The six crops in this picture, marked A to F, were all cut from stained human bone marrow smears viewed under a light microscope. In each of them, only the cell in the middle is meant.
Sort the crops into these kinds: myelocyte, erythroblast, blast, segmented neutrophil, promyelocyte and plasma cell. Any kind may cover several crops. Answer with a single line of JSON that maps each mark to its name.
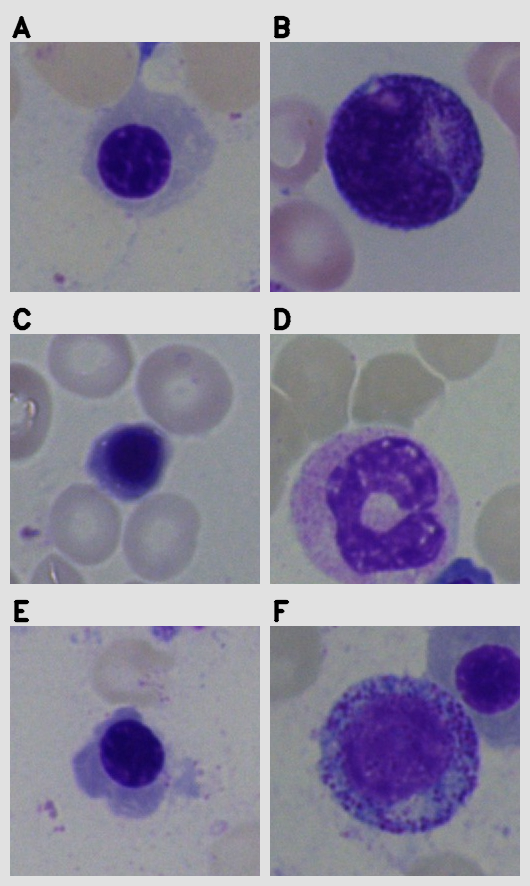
{"A": "erythroblast", "B": "promyelocyte", "C": "erythroblast", "D": "segmented neutrophil", "E": "erythroblast", "F": "myelocyte"}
